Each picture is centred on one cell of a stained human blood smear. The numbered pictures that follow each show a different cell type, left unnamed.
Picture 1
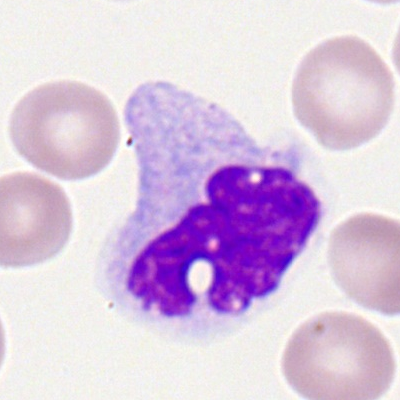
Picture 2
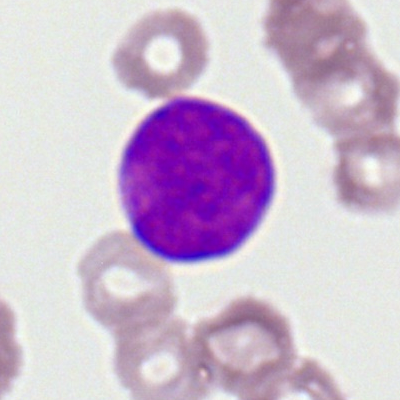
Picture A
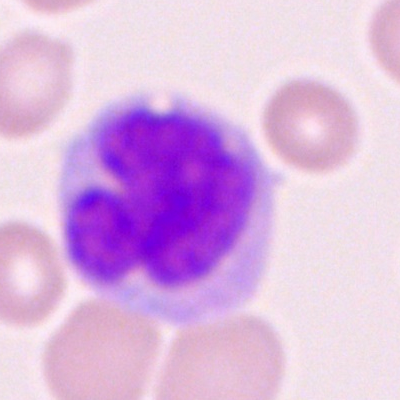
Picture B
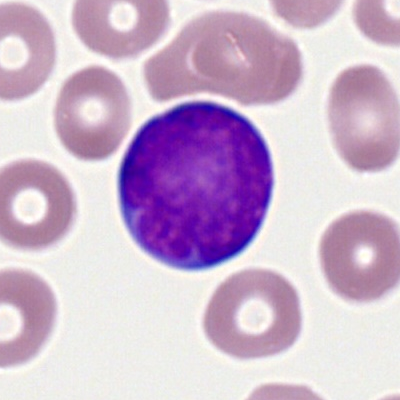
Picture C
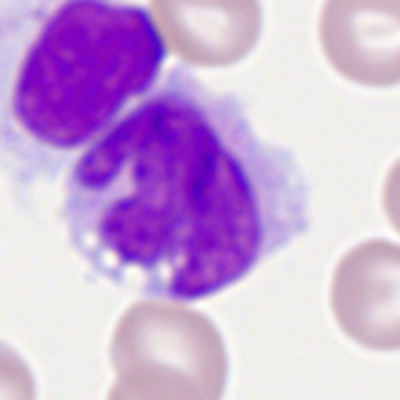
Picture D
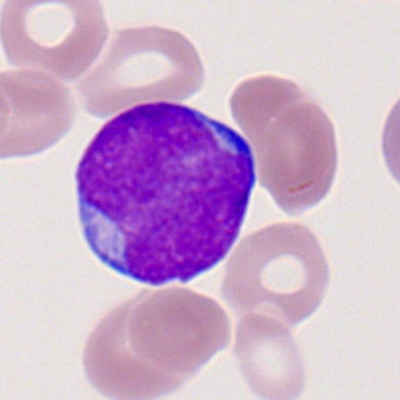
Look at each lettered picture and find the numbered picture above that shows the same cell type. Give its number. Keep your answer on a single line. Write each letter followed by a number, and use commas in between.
A 1, B 2, C 1, D 2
